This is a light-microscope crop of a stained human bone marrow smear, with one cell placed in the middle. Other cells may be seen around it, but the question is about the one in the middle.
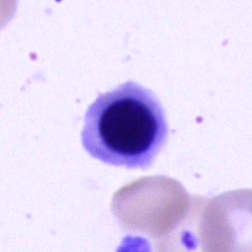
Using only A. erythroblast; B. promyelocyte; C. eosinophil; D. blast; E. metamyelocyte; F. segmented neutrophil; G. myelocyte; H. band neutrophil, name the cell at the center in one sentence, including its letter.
Identified correctly by option A, the cell in the middle is an erythroblast.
